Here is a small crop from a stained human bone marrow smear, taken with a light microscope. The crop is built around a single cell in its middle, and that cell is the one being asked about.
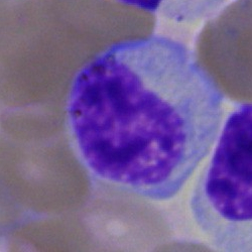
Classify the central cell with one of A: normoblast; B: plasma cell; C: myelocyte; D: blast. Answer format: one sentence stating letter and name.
Option C is to be chosen, as the central cell is a myelocyte.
